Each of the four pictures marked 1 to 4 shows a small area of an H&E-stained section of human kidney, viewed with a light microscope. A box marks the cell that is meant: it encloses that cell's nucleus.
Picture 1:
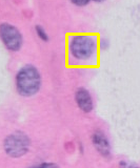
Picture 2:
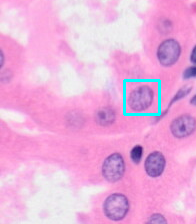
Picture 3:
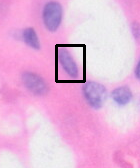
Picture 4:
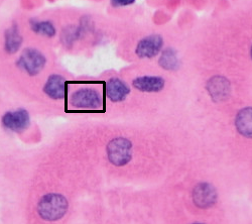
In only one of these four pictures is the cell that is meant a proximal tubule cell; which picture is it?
2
